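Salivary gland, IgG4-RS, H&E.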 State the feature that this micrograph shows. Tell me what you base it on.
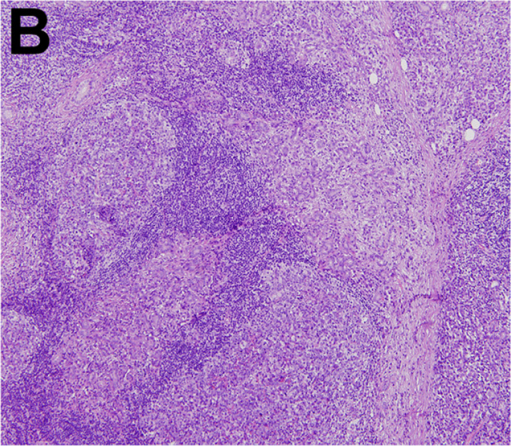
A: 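Rounded paler nodules are rimmed by a dark band of densely packed small lymphocytes. The pale centres contain larger cells with more pink cytoplasm. That points to this answer: lymphoid follicles with reactive germinal centers.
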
